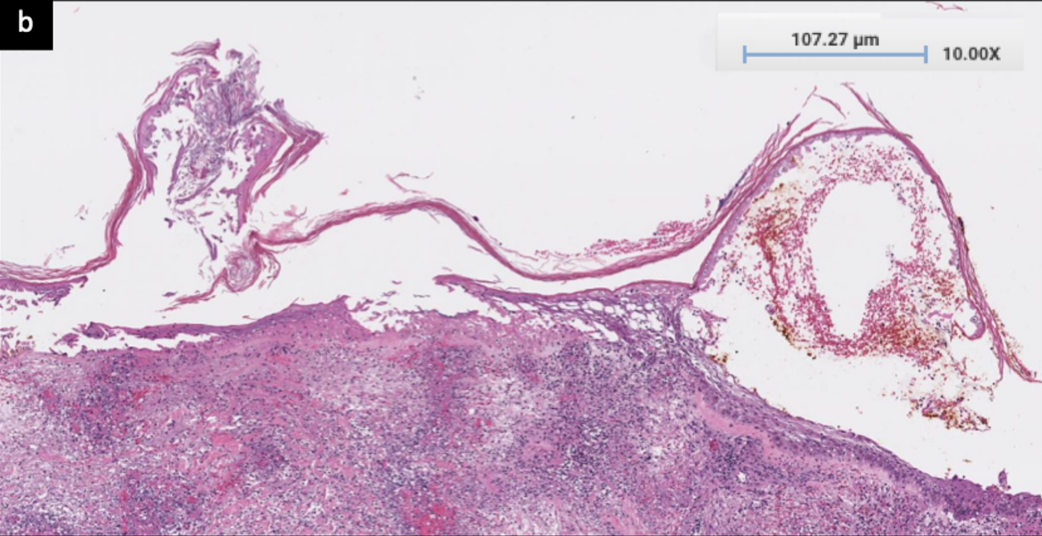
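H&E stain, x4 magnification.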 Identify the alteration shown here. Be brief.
necrotic epidermis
